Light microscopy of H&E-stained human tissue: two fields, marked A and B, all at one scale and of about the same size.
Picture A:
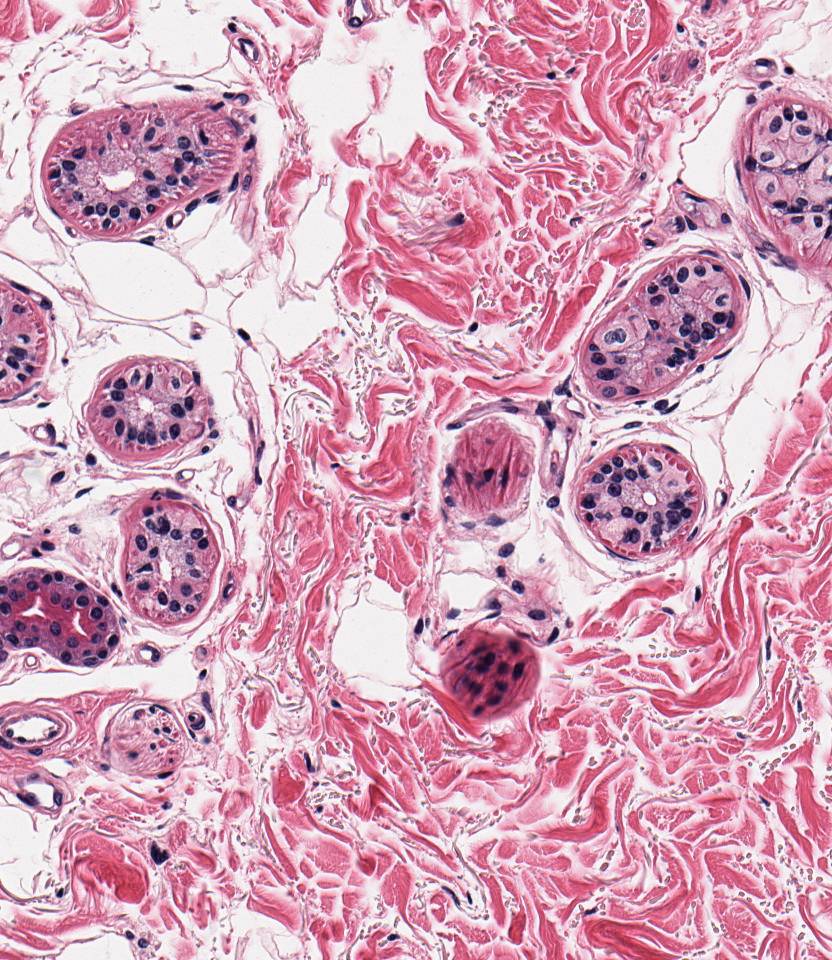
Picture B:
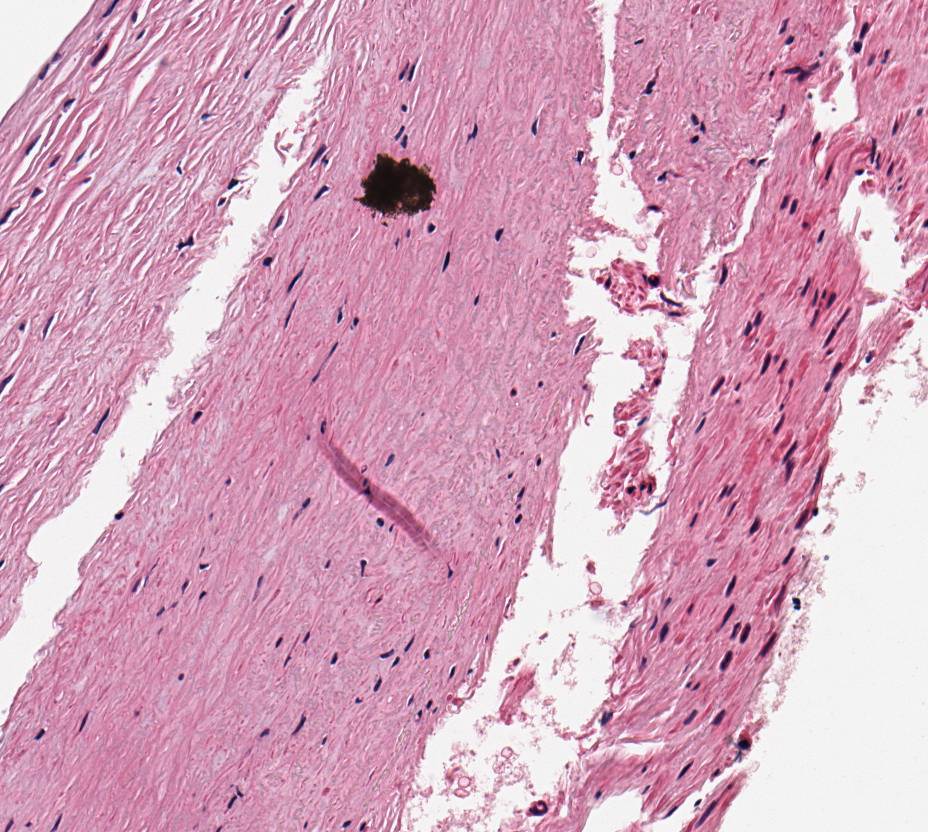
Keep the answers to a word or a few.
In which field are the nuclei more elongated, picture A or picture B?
B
